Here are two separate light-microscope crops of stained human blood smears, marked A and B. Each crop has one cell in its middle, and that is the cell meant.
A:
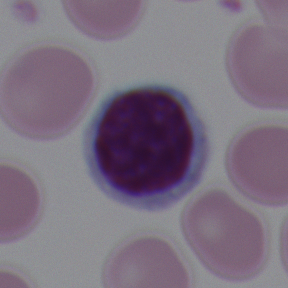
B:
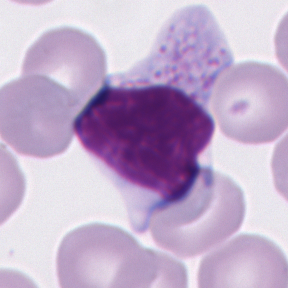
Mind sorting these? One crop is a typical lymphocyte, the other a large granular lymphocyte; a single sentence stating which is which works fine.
The cell at the centre of crop A is a typical lymphocyte, and at the centre of crop B, a large granular lymphocyte.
